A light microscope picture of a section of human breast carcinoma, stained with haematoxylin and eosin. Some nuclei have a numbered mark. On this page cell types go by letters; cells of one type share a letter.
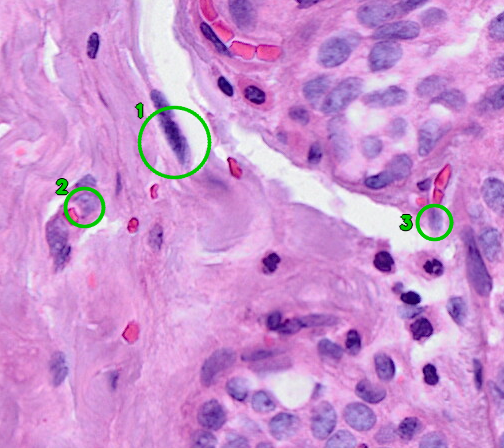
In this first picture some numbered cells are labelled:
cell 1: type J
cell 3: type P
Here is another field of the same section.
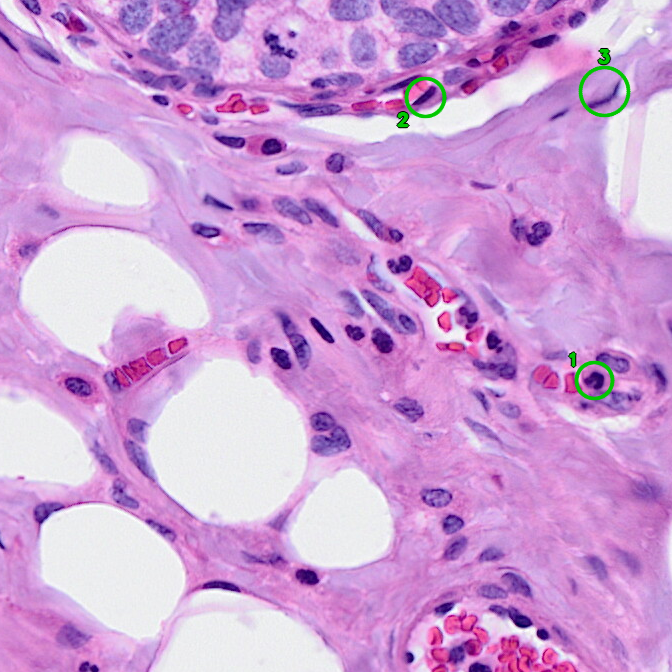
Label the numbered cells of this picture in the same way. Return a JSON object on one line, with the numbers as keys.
{"1": "type P", "2": "type P", "3": "type J"}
